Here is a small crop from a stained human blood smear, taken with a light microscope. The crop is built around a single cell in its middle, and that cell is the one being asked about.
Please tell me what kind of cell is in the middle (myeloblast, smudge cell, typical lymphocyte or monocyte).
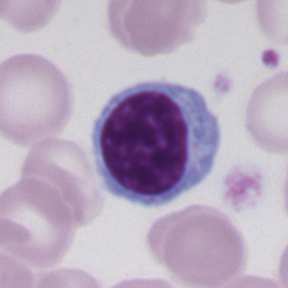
typical lymphocyte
